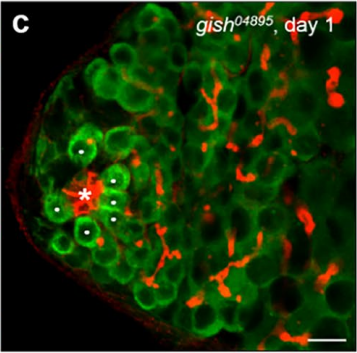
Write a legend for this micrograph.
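This is the tip of a fly testis with its red-stained niche near the apex and germline stem cells around it. The green germ cells close to the niche are round with dark, unstained nuclei, forming a rosette around the red patch. Beyond them many green germ cells fill the tip, arranged in clusters. Red dots and branched red threads lie among the germ cell clusters, some elongated and forked.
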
